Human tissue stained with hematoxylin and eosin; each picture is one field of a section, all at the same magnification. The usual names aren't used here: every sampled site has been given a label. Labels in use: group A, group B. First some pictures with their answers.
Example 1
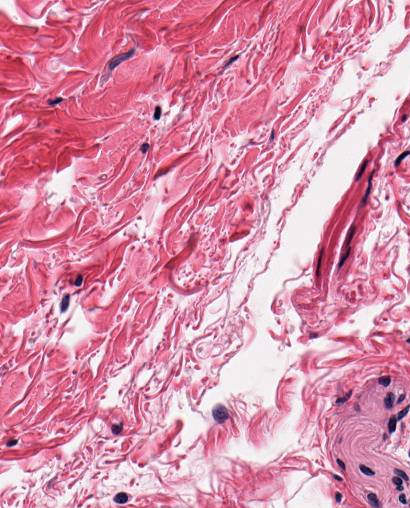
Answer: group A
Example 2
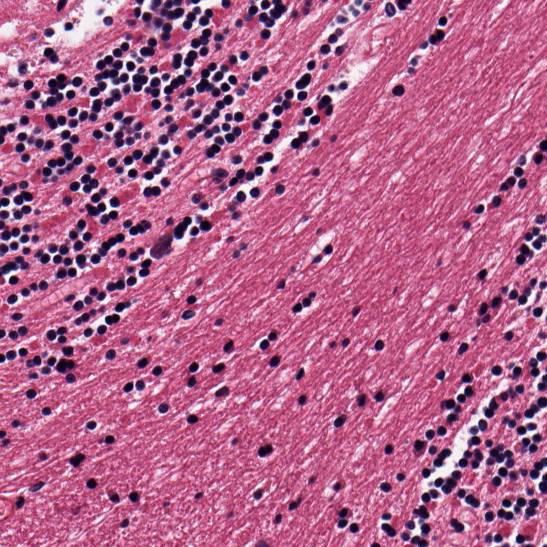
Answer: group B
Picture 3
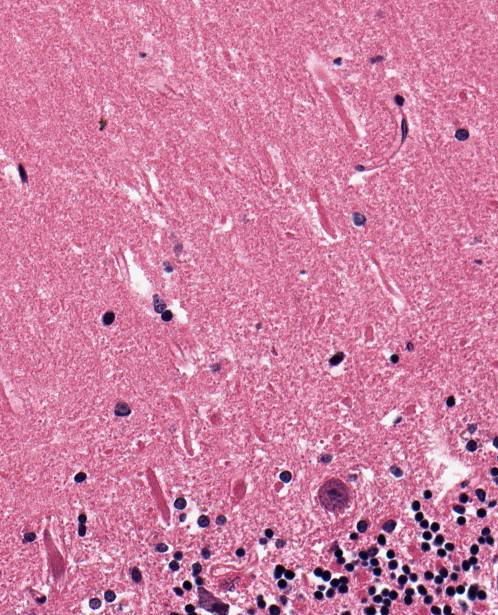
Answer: group B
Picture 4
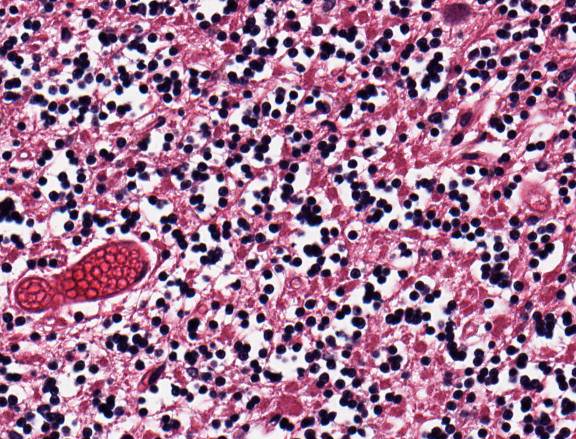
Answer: group B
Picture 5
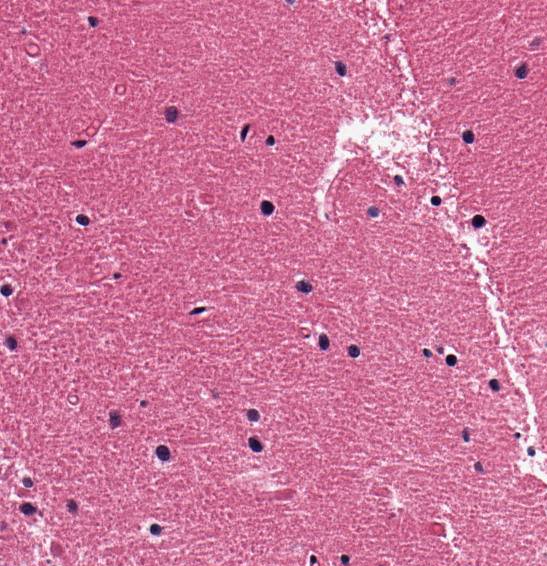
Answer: group B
